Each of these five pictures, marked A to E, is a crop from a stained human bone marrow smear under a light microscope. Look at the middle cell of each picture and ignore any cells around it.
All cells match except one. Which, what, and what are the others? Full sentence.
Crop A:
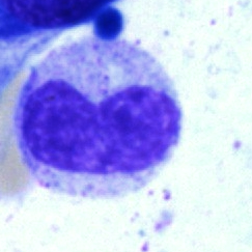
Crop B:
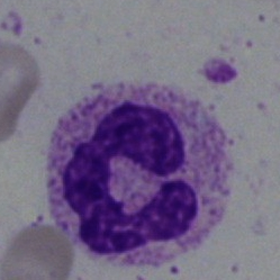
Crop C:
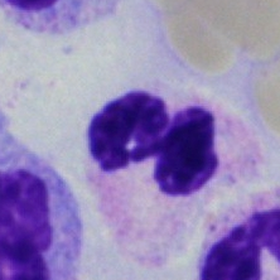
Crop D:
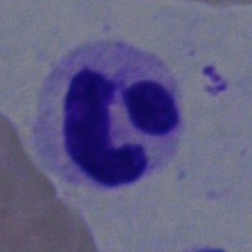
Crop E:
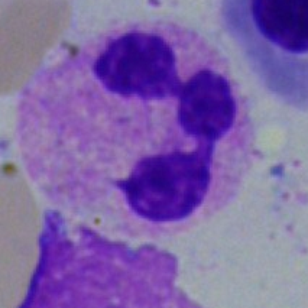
The exception in this group is crop A, a band neutrophil, and the others are all segmented neutrophils.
